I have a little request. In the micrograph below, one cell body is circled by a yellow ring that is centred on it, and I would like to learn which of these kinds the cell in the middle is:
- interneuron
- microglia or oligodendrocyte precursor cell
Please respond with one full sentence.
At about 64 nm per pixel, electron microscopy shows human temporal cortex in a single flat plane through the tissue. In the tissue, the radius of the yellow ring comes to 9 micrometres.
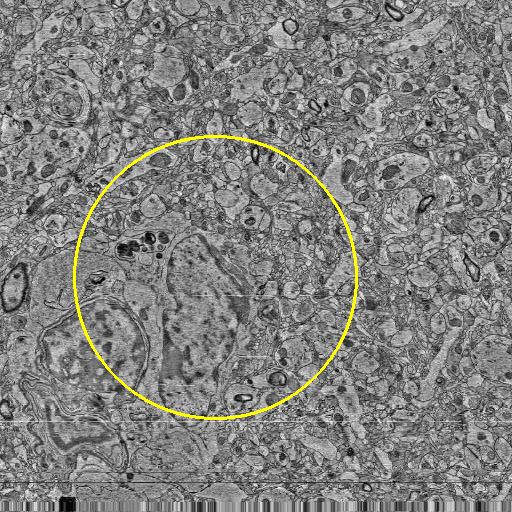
The cell sitting in the middle of the yellow ring in the micrograph is a microglial cell or oligodendrocyte precursor cell.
